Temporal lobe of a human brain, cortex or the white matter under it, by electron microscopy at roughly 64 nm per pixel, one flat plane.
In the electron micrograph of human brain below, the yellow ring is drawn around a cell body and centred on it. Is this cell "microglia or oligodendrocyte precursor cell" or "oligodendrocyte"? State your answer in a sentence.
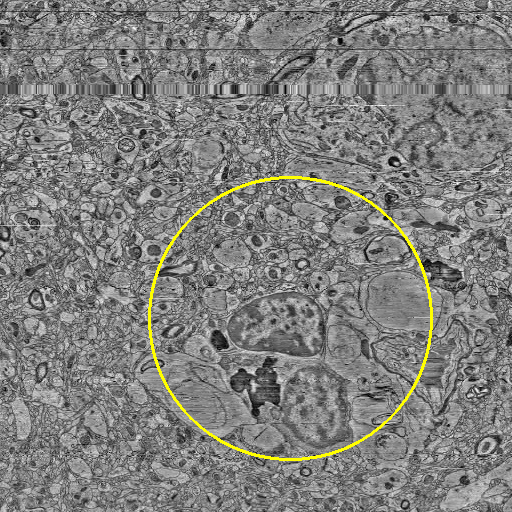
The cell in the middle of the ring is a microglial cell or oligodendrocyte precursor cell.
